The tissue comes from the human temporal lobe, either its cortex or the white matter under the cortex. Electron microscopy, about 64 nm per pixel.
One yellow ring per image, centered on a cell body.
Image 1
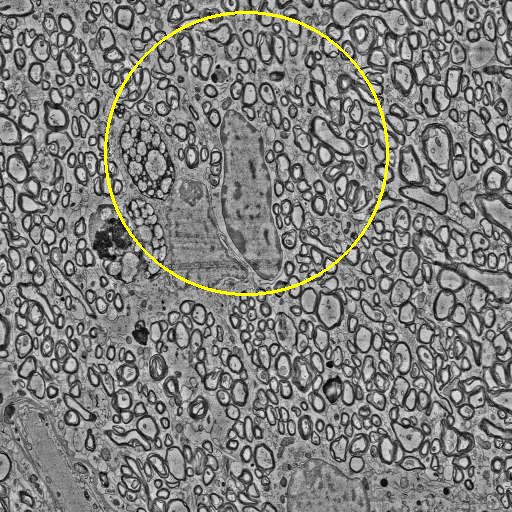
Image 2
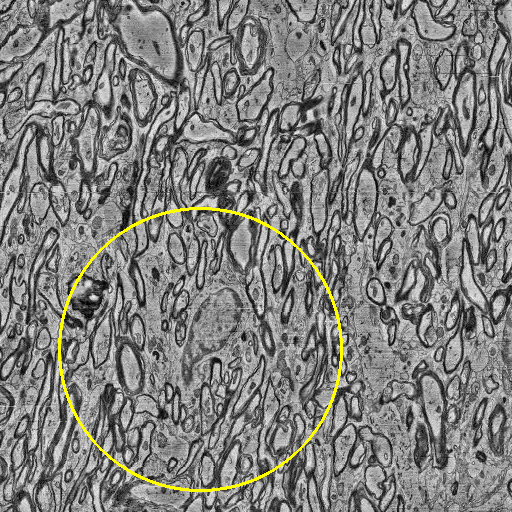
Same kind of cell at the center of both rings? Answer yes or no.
yes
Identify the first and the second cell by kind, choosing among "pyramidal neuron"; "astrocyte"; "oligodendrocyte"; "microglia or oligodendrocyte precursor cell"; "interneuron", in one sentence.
In each picture the ringed cell is a microglial cell or oligodendrocyte precursor cell.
